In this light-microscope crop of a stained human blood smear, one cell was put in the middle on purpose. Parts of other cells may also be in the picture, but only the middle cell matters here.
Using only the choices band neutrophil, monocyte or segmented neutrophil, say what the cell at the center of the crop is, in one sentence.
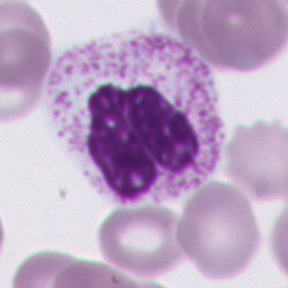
The cell featured at the centre of this crop is a segmented neutrophil.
